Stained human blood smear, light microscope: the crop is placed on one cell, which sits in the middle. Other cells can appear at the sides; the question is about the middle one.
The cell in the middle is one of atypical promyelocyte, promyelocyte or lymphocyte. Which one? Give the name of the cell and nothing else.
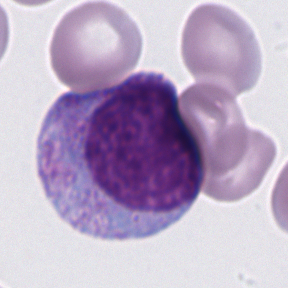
promyelocyte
